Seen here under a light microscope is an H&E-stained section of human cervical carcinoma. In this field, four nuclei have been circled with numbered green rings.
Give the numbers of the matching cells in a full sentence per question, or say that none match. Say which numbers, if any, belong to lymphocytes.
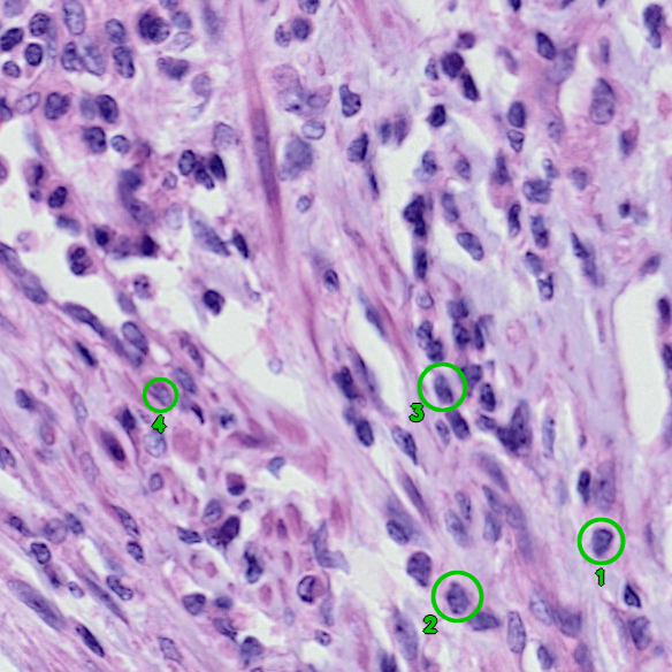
The cells assigned the numbers 1, 2 and 3 are lymphocytes.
